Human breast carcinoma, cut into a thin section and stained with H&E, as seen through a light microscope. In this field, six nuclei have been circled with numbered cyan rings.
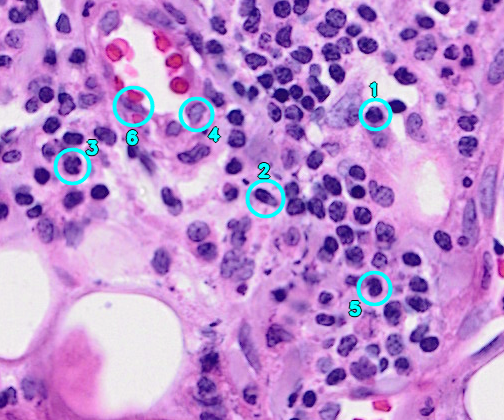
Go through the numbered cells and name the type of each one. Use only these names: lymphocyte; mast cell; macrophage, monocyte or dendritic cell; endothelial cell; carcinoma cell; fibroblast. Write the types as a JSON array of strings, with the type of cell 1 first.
["lymphocyte", "lymphocyte", "lymphocyte", "endothelial cell", "lymphocyte", "endothelial cell"]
